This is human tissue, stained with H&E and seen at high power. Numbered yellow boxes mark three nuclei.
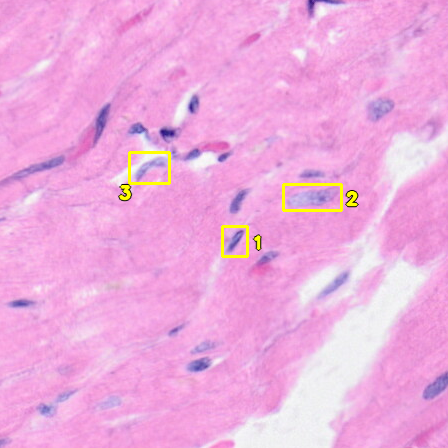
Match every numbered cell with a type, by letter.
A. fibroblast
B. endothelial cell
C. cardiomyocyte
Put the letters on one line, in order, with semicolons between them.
B; C; A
